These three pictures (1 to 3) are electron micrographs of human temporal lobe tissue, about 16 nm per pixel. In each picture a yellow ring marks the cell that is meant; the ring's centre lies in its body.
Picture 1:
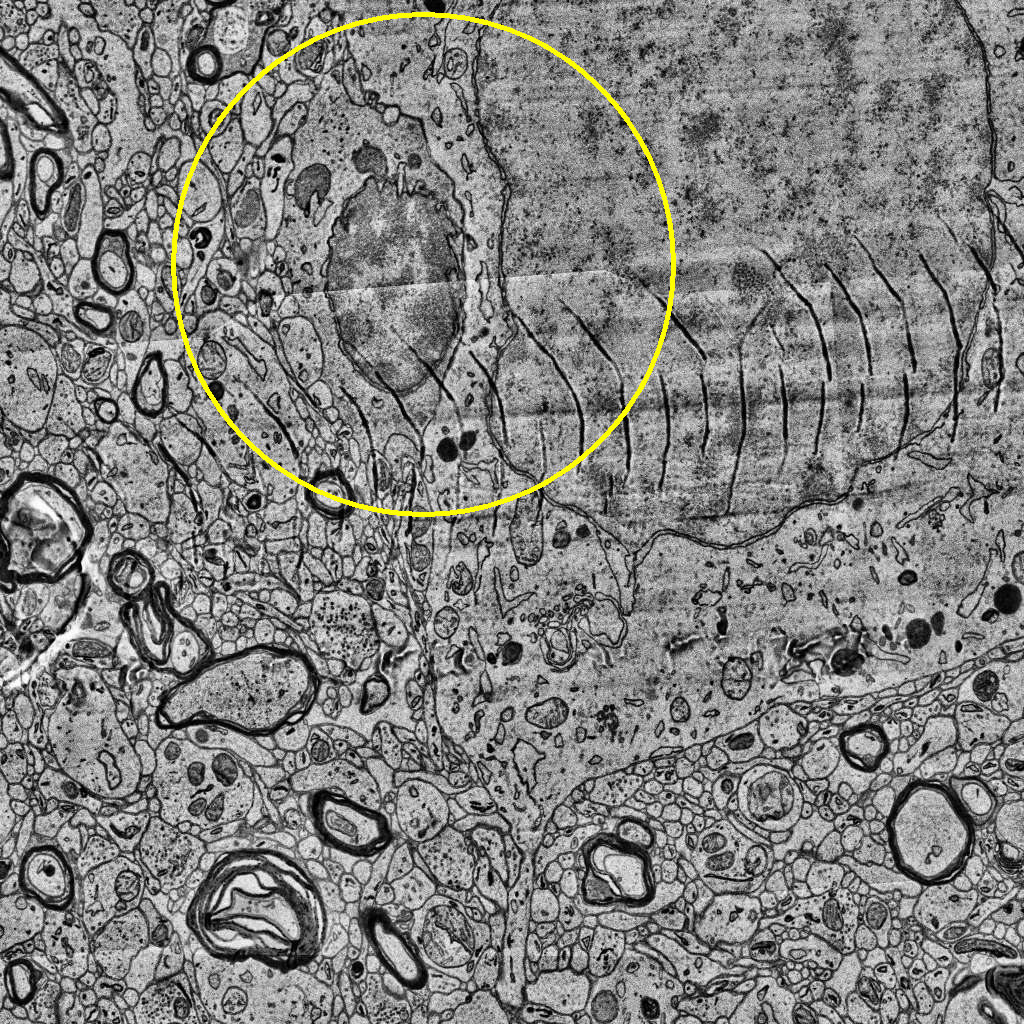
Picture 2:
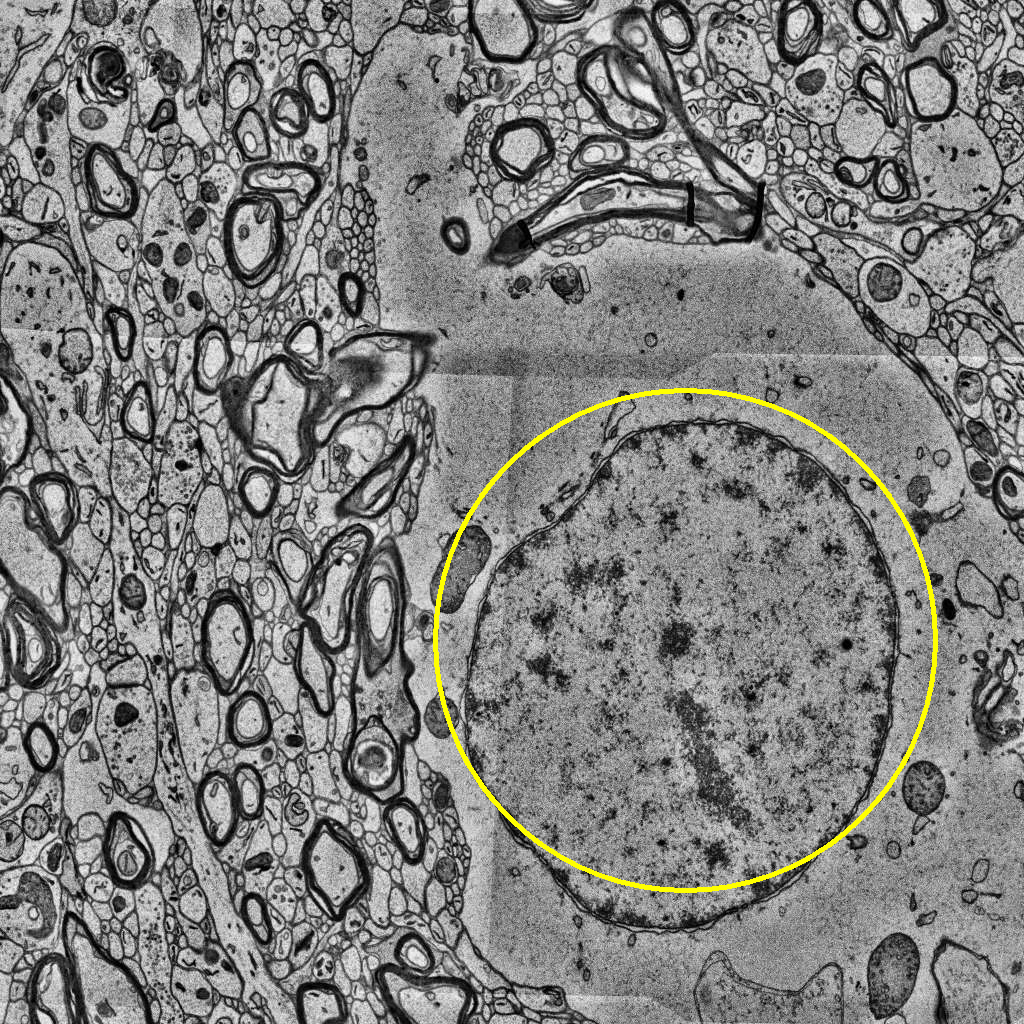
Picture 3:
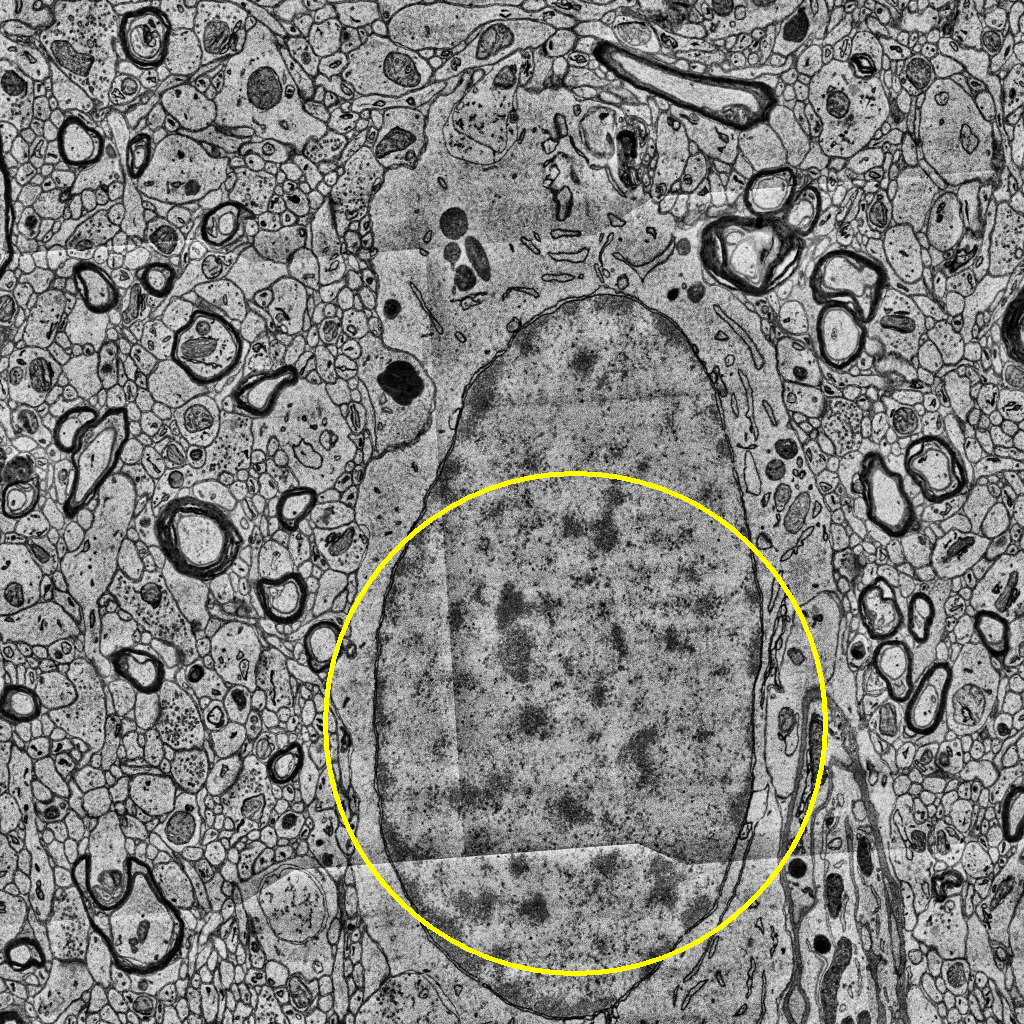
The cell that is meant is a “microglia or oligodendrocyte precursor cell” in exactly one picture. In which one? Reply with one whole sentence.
Picture 3 shows the “microglia or oligodendrocyte precursor cell”.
